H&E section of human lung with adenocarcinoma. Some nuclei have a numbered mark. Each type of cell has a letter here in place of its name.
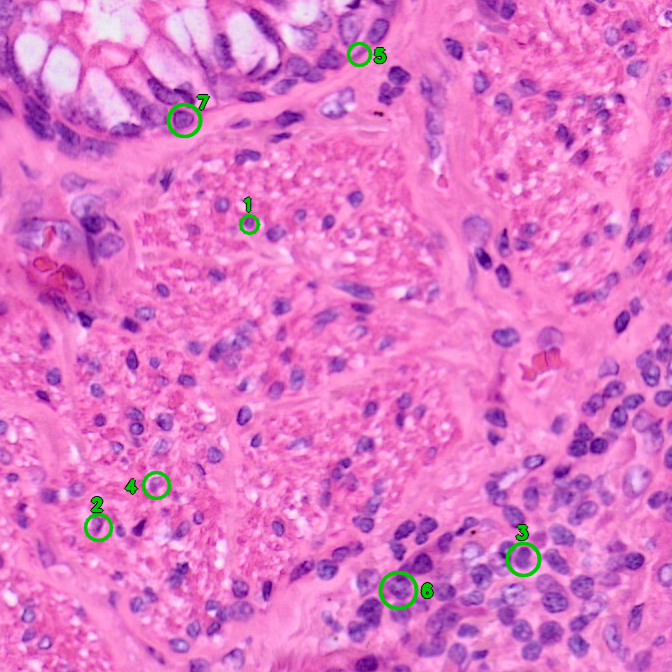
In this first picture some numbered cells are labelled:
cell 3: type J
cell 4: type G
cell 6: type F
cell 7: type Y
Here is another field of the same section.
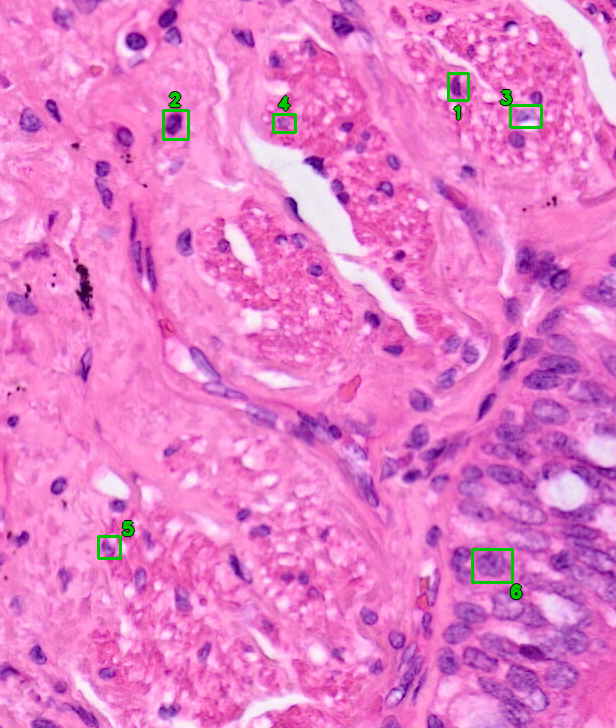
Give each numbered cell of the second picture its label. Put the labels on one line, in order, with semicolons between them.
type G; type F; type G; type G; type G; type Y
